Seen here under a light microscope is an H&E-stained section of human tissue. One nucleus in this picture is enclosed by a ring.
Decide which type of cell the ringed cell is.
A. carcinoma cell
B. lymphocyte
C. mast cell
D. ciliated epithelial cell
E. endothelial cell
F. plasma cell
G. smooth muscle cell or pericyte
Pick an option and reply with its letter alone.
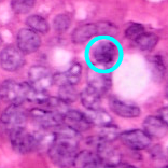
D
